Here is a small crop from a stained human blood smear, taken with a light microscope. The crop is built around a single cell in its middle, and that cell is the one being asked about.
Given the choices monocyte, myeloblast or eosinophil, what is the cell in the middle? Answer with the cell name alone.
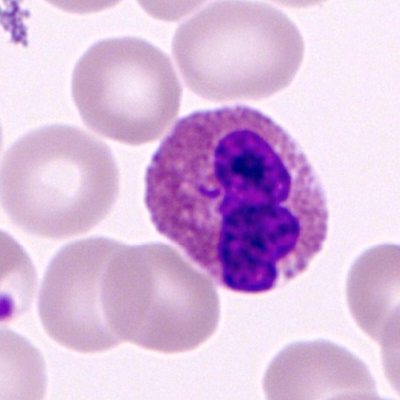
eosinophil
